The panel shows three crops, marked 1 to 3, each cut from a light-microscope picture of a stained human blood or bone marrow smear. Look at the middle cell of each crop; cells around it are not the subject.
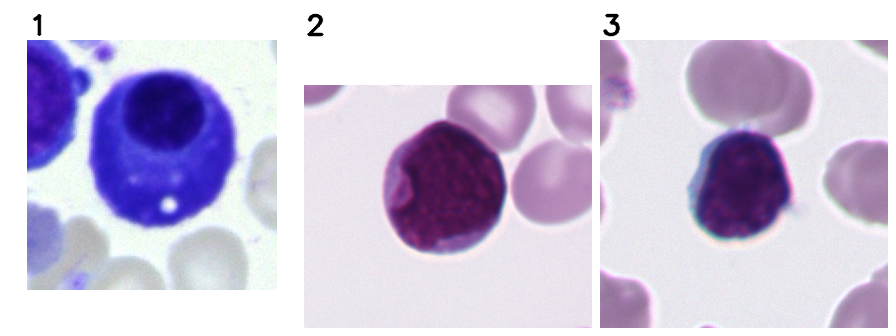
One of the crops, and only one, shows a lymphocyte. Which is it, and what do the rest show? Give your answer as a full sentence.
Seen in crop 3 is a lymphocyte, while crop 1 is a plasma cell and crop 2 is a blast.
